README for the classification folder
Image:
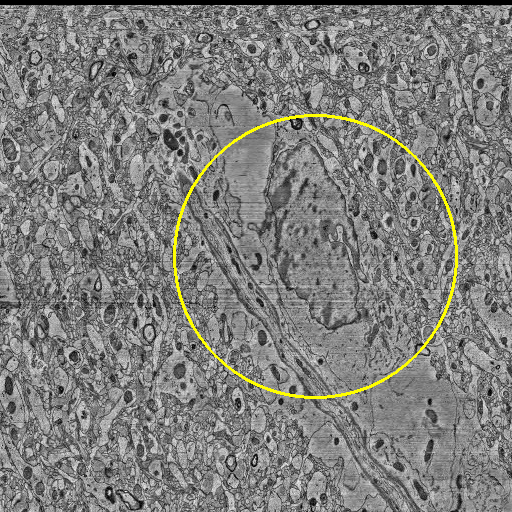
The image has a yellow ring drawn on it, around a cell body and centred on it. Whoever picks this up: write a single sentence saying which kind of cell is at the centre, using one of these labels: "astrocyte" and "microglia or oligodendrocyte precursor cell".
This cell body is that of a microglial cell or oligodendrocyte precursor cell.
